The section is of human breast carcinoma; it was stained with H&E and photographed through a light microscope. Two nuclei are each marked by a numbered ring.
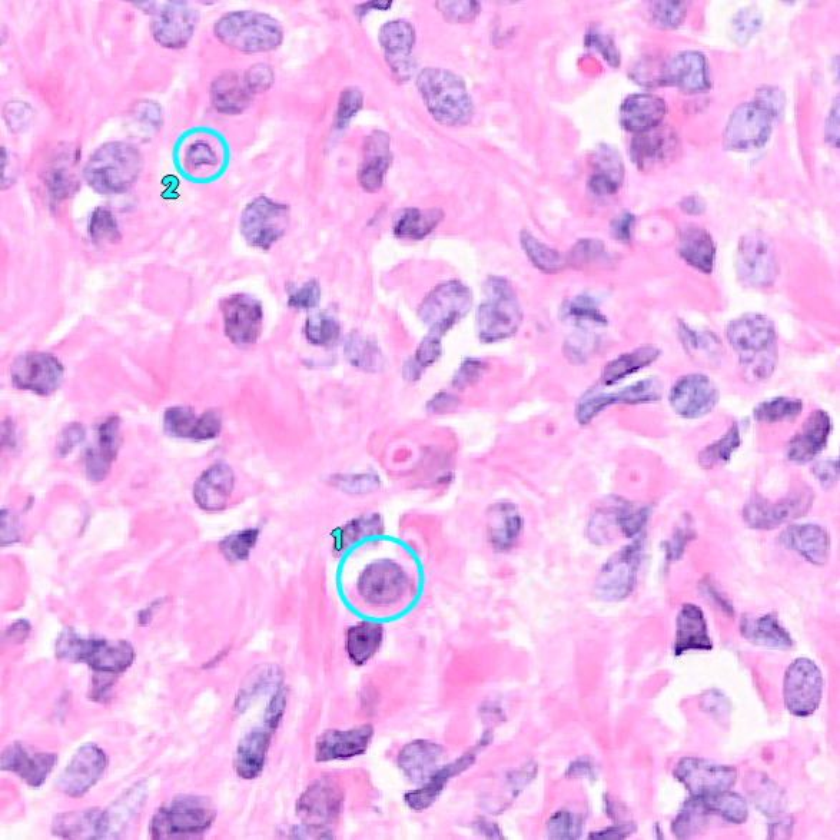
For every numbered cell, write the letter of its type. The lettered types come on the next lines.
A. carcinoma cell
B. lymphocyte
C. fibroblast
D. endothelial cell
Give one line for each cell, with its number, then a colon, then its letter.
1: A
2: D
